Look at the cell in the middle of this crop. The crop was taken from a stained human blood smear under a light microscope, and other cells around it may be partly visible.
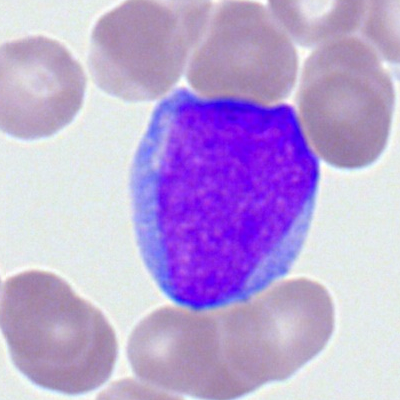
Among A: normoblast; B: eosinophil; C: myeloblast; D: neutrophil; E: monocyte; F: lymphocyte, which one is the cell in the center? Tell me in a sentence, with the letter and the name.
What sits in the middle of the crop is a myeloblast, and option C is correct.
